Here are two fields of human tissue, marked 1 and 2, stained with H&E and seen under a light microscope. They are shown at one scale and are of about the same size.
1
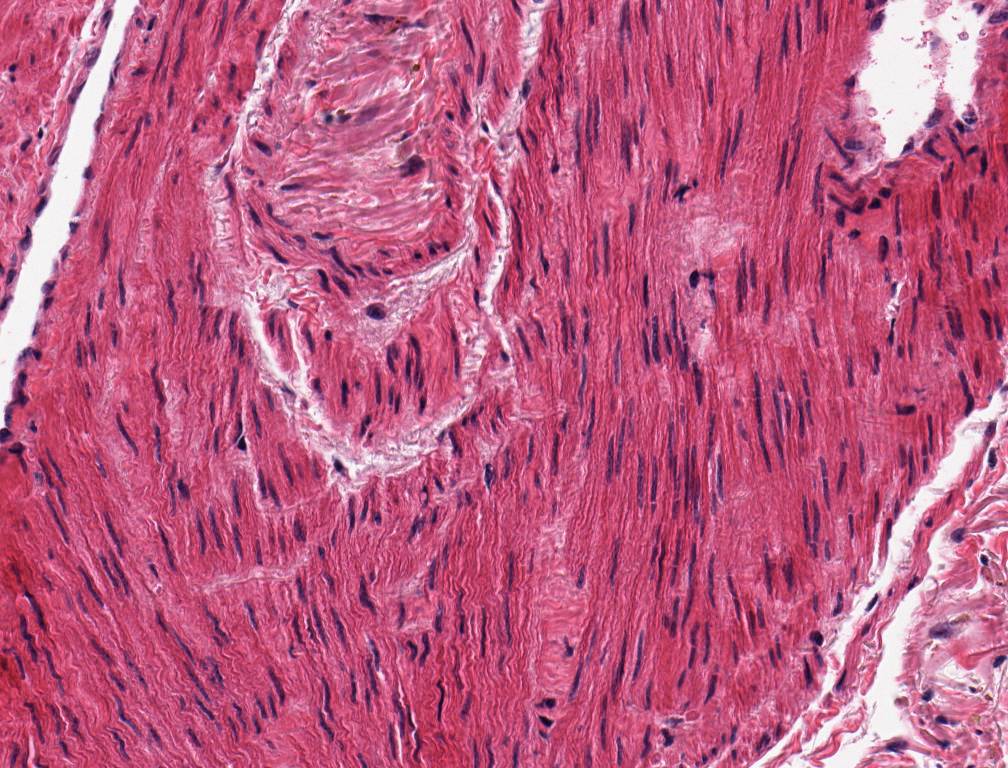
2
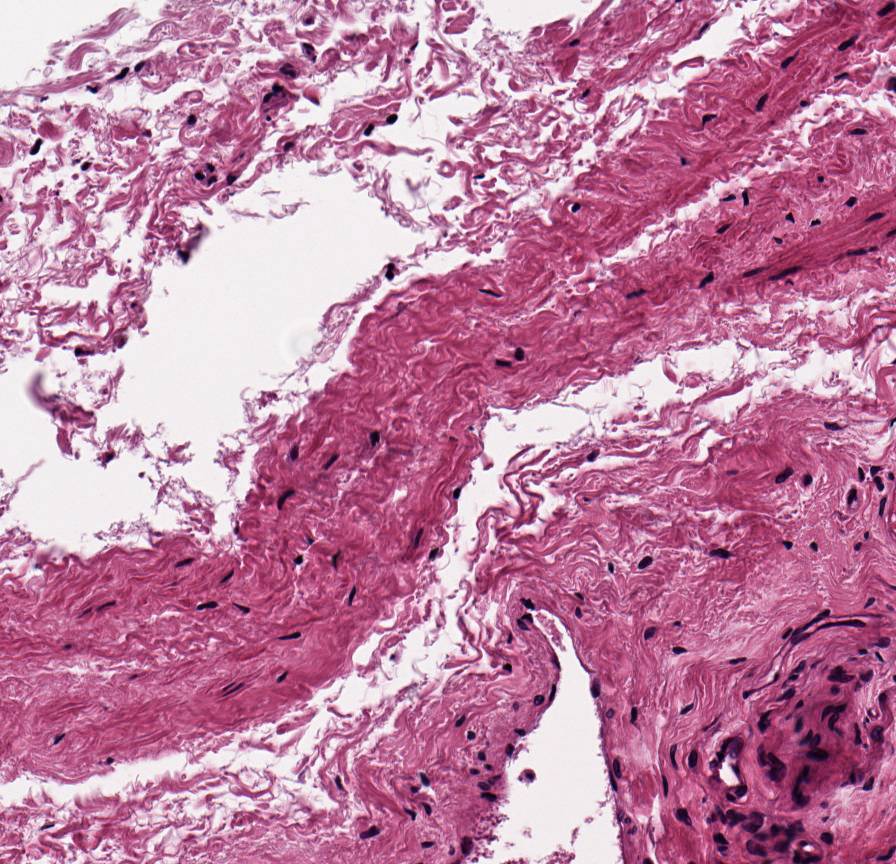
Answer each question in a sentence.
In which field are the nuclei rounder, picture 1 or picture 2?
On the whole the nuclei of picture 2 are rounder than those of picture 1.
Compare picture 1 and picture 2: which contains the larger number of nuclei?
The larger number of nuclei is in picture 1.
